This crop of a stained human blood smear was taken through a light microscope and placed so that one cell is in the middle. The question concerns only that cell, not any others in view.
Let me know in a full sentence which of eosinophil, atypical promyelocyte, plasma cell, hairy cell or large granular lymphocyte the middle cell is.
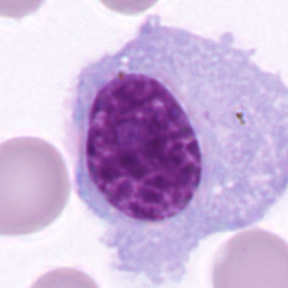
In this crop, the cell at the very middle is a plasma cell.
